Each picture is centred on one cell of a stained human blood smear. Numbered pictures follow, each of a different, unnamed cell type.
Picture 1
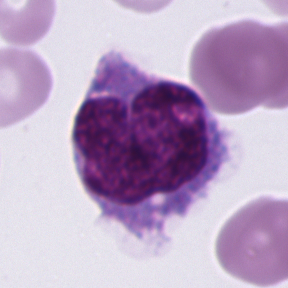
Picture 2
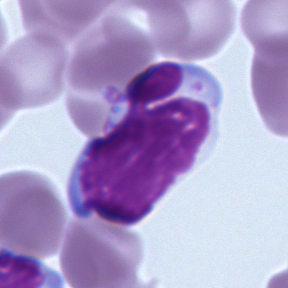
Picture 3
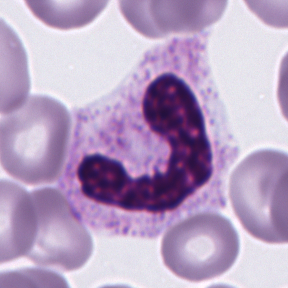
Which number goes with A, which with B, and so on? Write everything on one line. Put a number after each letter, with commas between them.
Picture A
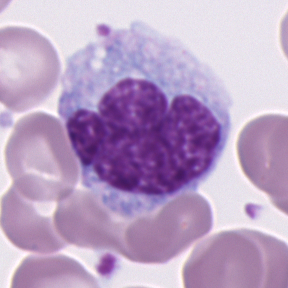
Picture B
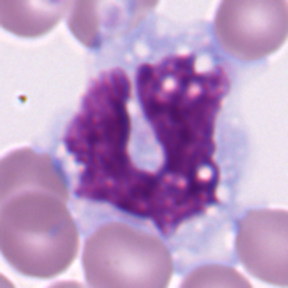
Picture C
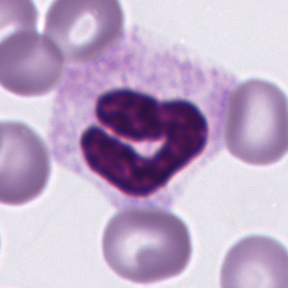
A 1, B 1, C 3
